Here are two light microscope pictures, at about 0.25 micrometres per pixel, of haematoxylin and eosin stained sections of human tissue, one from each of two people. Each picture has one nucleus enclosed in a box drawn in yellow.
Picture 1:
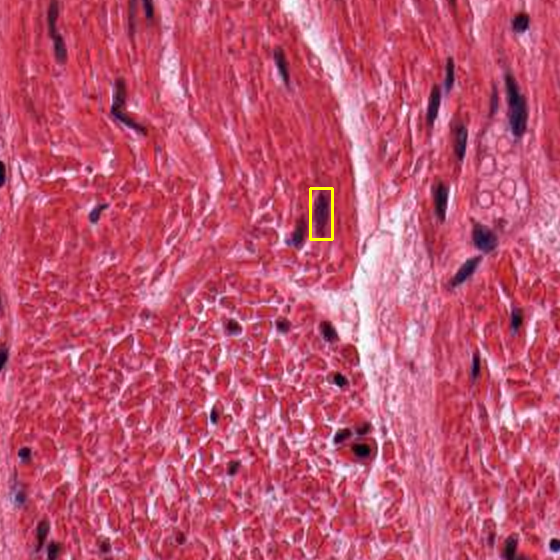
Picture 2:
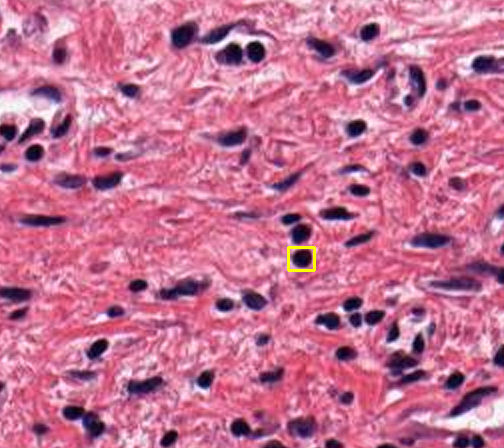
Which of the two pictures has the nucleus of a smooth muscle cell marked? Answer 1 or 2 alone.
1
